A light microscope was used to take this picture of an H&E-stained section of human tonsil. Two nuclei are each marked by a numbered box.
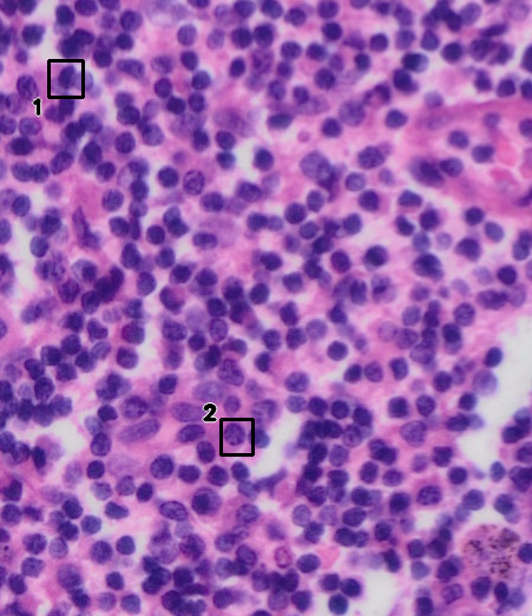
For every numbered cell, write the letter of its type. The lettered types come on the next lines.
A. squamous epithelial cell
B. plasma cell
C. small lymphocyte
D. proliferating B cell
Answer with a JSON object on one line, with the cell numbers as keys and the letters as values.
{"1": "C", "2": "B"}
